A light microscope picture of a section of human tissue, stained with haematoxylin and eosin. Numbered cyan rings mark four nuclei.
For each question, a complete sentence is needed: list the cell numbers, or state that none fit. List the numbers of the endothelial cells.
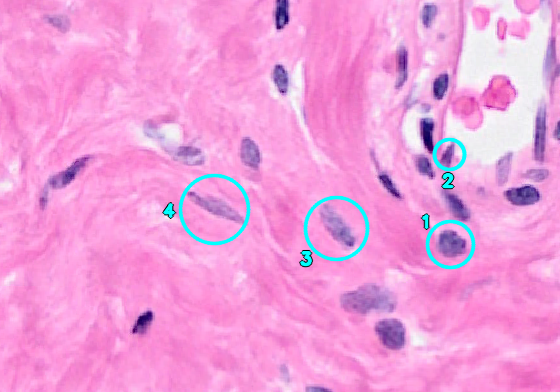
Only at number 2 is there an endothelial cell.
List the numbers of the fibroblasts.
In short, the numbered cells 3 and 4 are fibroblasts.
